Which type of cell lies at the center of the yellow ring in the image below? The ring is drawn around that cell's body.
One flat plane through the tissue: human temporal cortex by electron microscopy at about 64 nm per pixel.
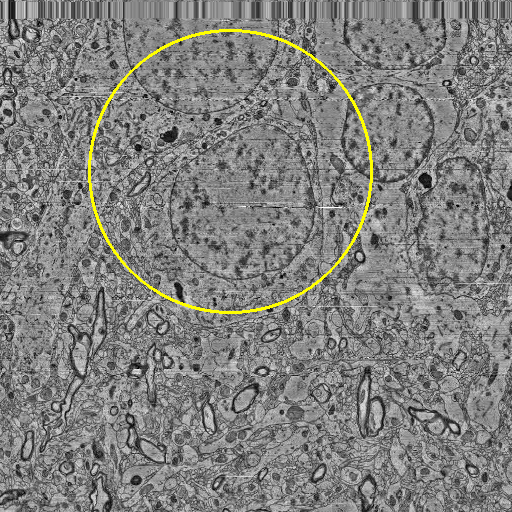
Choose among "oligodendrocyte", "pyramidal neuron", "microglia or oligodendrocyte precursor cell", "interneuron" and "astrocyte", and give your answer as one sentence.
The cell body at the center belongs to a pyramidal neuron.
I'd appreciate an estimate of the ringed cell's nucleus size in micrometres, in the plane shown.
Approximately 10 micrometres across in this plane.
